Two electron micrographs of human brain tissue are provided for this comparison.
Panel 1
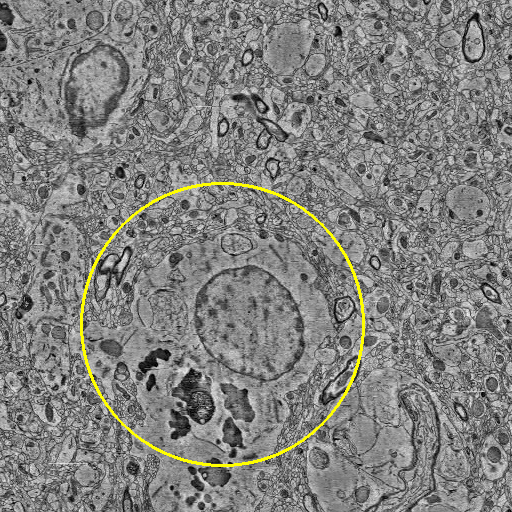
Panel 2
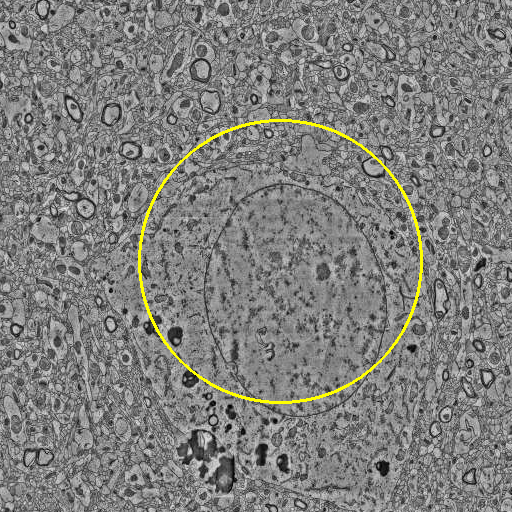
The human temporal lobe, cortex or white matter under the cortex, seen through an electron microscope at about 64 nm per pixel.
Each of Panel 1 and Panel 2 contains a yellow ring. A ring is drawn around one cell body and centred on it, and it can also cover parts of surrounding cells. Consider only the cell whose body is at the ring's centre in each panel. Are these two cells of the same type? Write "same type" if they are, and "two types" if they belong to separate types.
two types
